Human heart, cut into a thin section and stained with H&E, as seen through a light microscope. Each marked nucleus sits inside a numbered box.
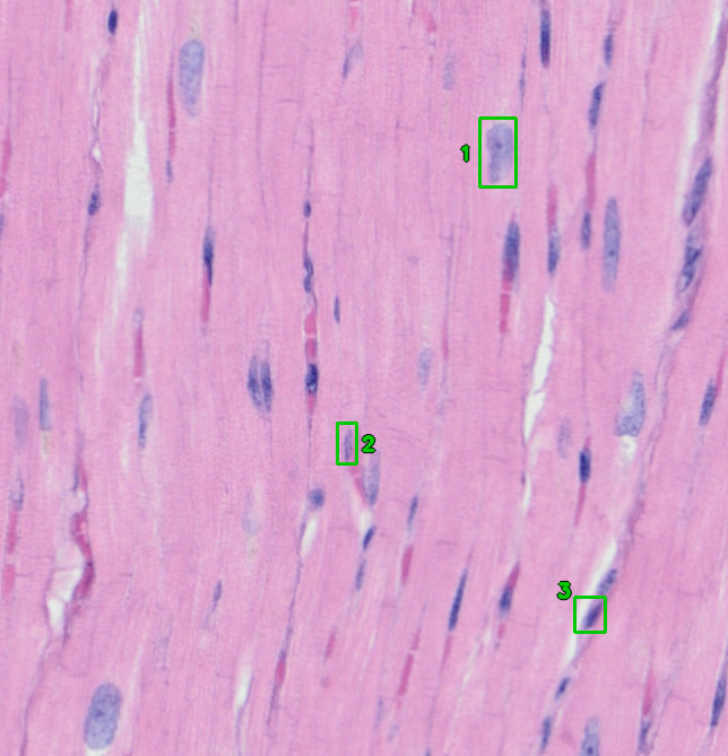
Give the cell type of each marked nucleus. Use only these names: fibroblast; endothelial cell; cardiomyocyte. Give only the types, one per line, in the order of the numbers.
cardiomyocyte
endothelial cell
endothelial cell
